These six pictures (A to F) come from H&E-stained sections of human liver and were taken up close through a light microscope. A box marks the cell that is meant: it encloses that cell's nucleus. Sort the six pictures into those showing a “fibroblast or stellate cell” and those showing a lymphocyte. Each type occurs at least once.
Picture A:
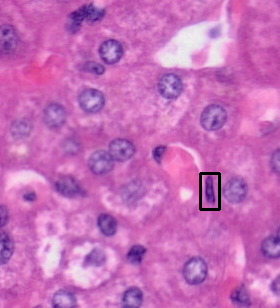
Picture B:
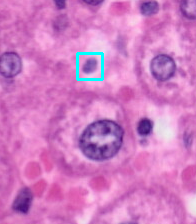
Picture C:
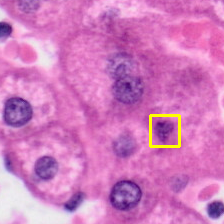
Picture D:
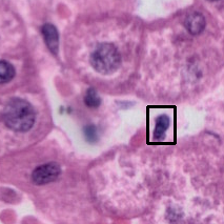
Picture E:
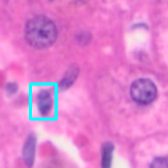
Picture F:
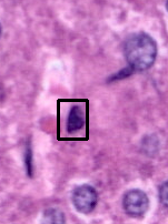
A: fibroblast or stellate cell
B: lymphocyte
C: fibroblast or stellate cell
D: lymphocyte
E: fibroblast or stellate cell
F: fibroblast or stellate cell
